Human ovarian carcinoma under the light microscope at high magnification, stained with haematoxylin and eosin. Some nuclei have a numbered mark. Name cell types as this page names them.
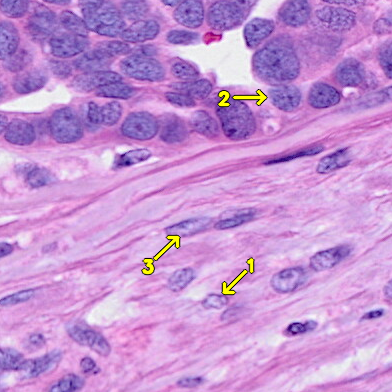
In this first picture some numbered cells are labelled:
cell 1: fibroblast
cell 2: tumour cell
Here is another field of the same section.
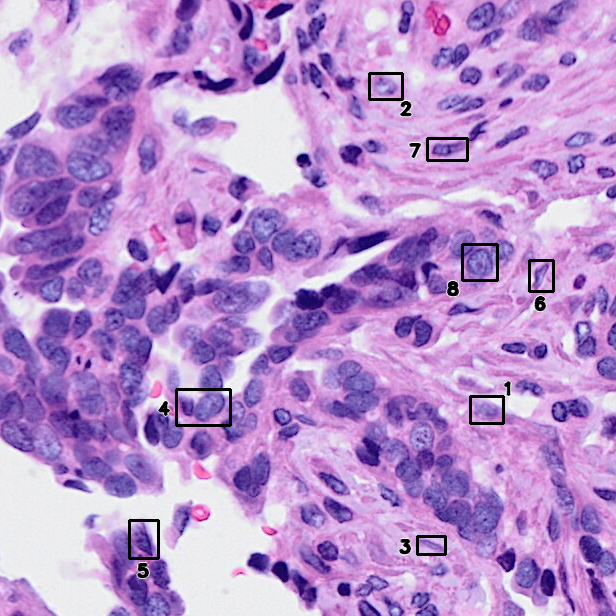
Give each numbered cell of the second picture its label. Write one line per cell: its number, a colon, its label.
1: fibroblast
2: fibroblast
3: fibroblast
4: tumour cell
5: tumour cell
6: fibroblast
7: fibroblast
8: tumour cell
